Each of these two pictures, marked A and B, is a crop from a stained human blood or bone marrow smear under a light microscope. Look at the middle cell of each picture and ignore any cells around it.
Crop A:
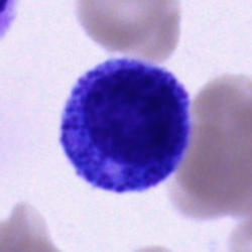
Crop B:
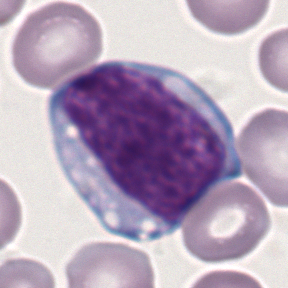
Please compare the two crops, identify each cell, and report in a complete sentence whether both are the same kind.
No, a promyelocyte is the cell in crop A; a blast is the cell in crop B.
